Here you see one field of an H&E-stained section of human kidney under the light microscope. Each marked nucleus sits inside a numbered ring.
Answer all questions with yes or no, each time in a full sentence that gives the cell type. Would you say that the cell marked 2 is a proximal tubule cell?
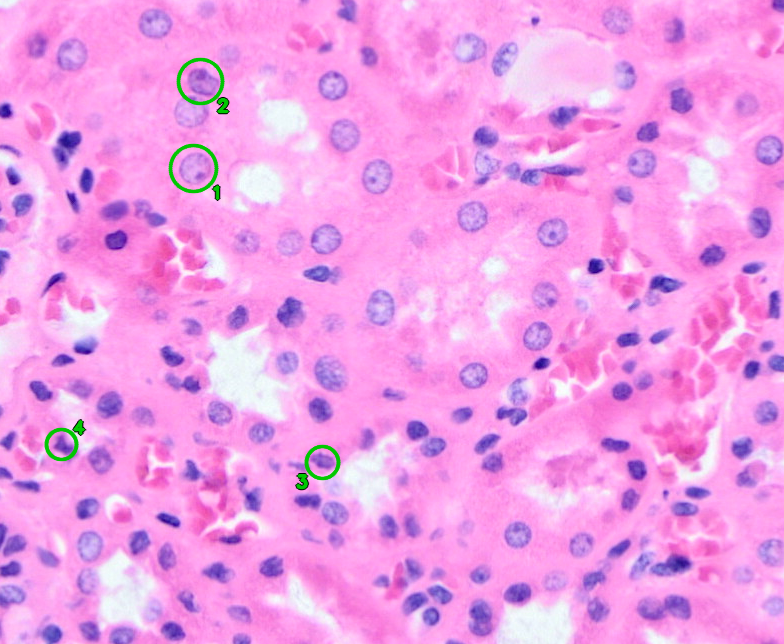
Yes, the cell identified by number 2 is a proximal tubule cell.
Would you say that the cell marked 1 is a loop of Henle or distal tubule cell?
No, in terms of cell type, cell 1 is a proximal tubule cell, not a loop of Henle or distal tubule cell.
